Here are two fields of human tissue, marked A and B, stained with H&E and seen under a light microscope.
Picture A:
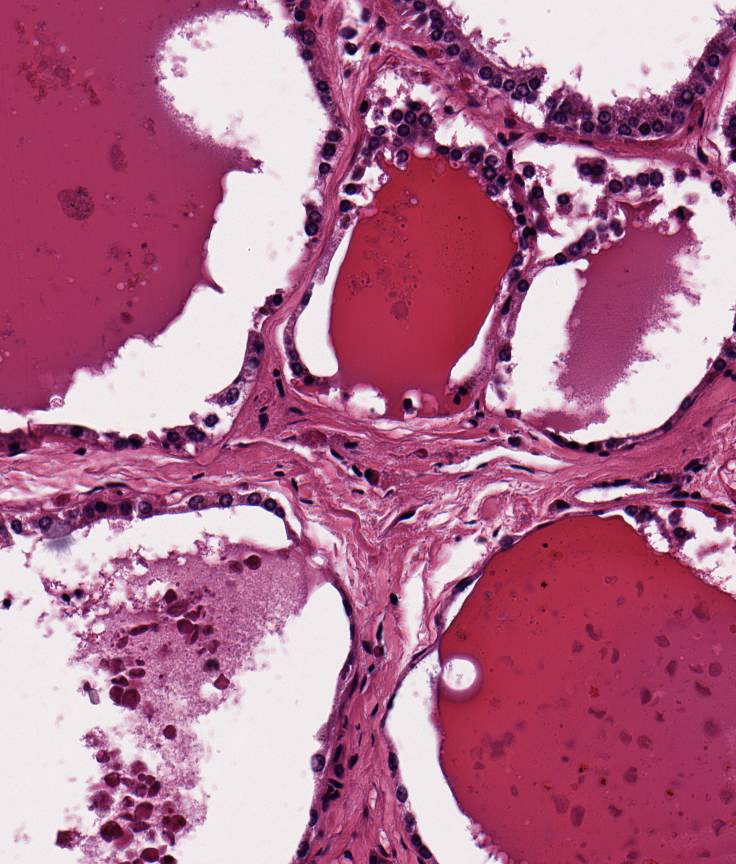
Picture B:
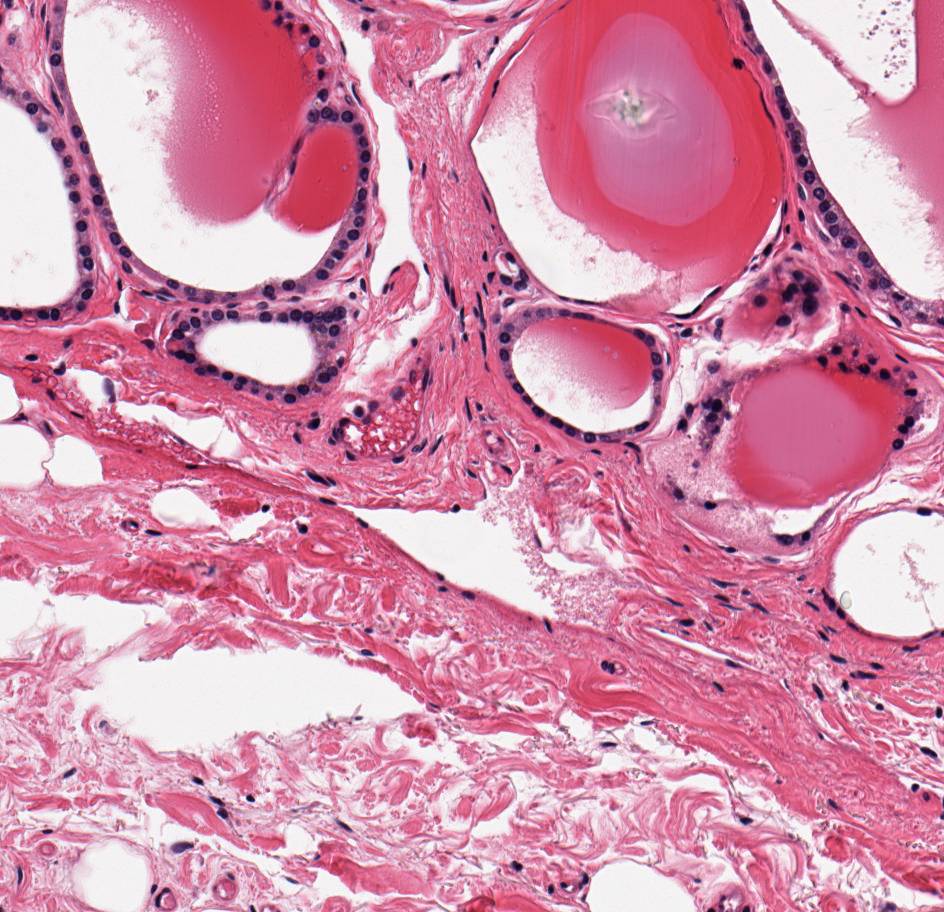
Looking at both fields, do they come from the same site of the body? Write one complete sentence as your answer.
Yes, they come from the same site of the body: both come from the thyroid.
